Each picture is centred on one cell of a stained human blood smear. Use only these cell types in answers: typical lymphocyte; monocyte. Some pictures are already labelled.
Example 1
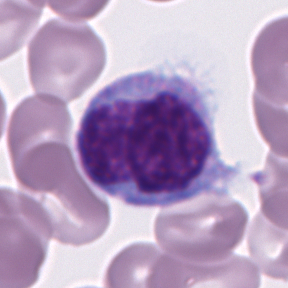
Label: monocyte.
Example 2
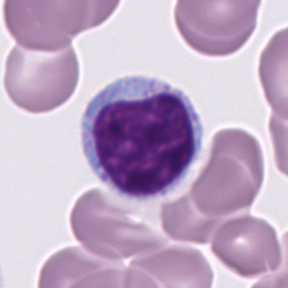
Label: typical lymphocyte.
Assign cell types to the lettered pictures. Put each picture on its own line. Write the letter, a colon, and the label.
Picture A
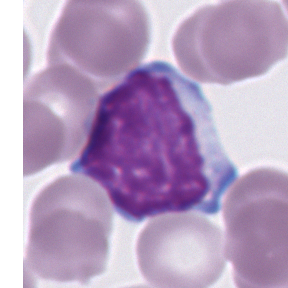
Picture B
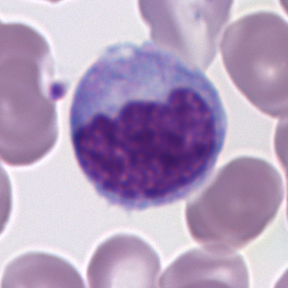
A: typical lymphocyte.
B: monocyte.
